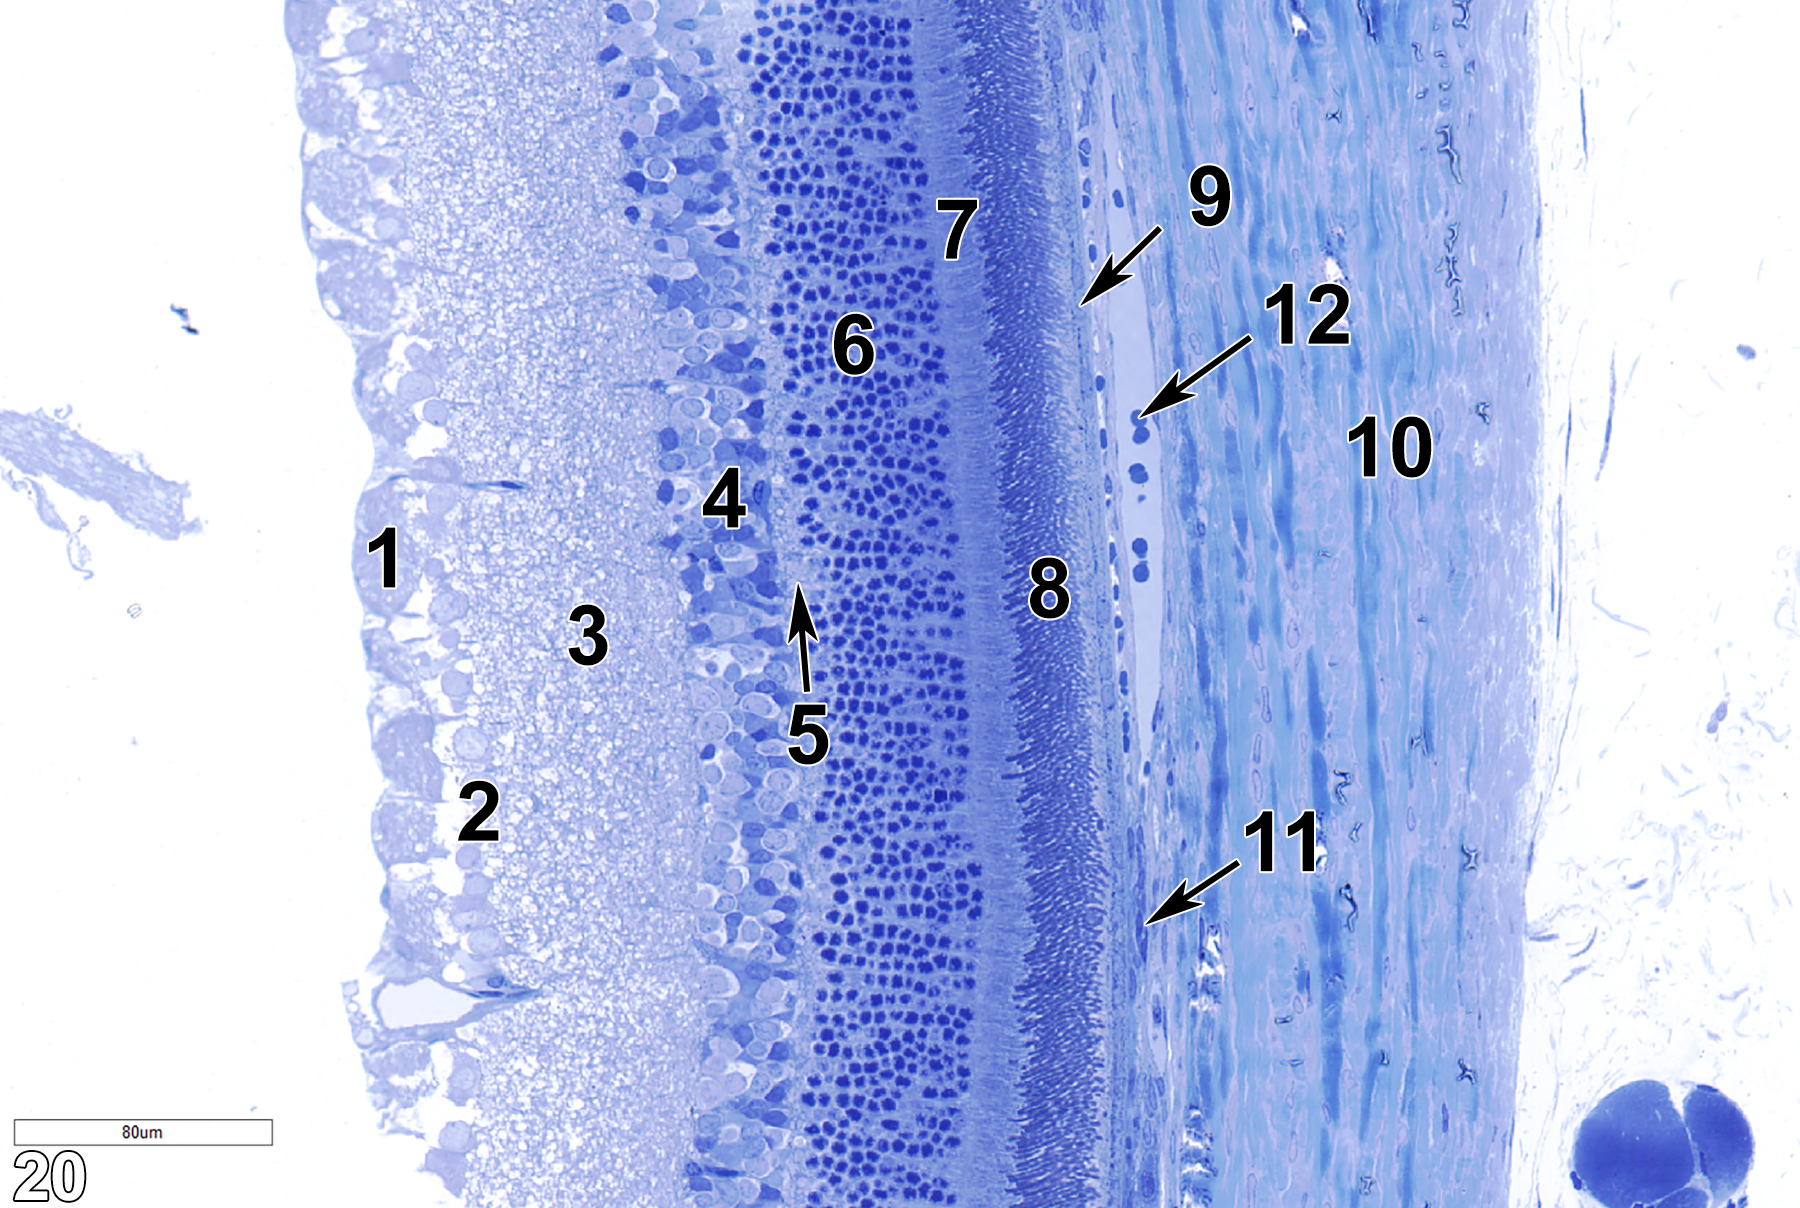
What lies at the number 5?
Outer plexiform layer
